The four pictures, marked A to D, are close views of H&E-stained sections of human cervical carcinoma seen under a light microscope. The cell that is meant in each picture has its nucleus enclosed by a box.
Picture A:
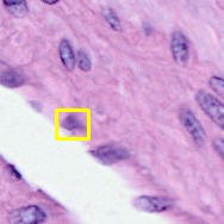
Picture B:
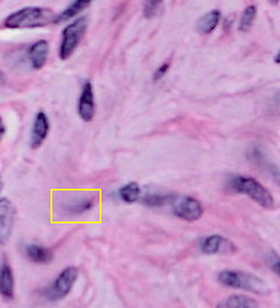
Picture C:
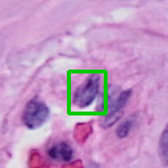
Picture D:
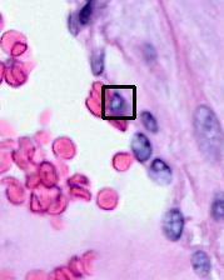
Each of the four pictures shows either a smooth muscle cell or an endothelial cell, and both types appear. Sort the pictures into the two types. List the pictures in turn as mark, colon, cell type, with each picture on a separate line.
A: endothelial cell
B: smooth muscle cell
C: endothelial cell
D: endothelial cell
